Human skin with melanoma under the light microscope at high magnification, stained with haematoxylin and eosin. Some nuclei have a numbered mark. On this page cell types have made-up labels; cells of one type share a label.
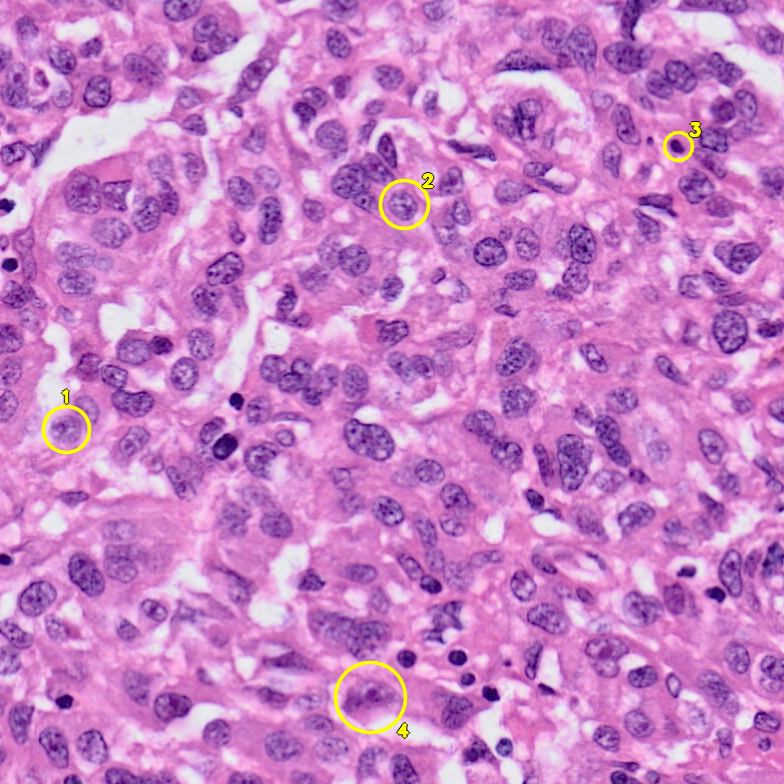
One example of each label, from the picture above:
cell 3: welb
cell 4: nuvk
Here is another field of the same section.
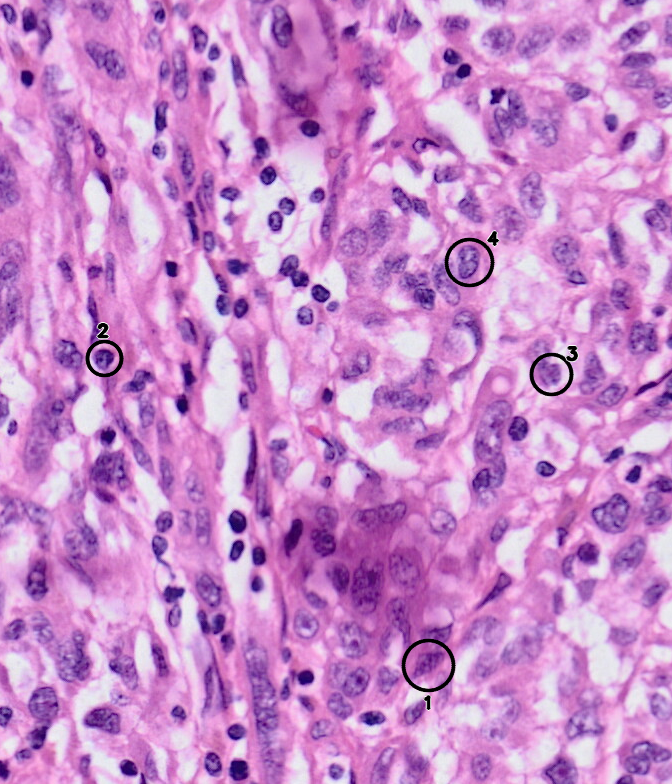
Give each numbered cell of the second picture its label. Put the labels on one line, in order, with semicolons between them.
nuvk; welb; nuvk; nuvk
